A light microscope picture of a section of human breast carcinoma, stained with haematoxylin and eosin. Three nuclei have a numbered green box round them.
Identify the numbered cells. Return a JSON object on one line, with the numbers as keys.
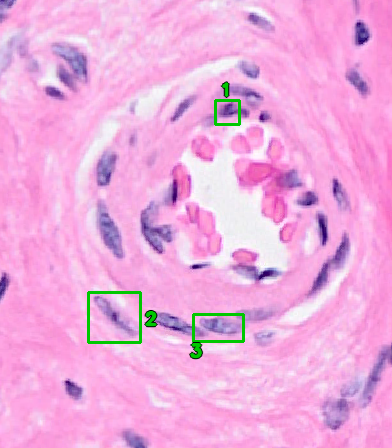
{"1": "endothelial cell", "2": "fibroblast", "3": "endothelial cell"}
